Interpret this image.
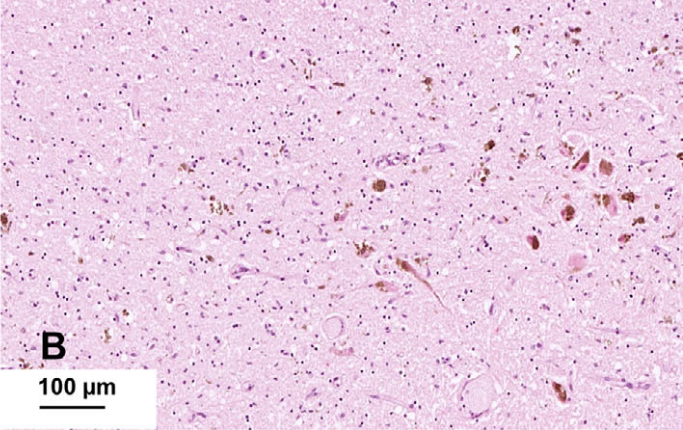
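This is pink-stained neuropil of the substantia nigra with a few large neurons carrying brown cytoplasmic pigment and many small dark glial nuclei. Much of the brown pigment lies free in the neuropil, outside cell bodies, in small granular clusters, and large pigmented neurons are sparse.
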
